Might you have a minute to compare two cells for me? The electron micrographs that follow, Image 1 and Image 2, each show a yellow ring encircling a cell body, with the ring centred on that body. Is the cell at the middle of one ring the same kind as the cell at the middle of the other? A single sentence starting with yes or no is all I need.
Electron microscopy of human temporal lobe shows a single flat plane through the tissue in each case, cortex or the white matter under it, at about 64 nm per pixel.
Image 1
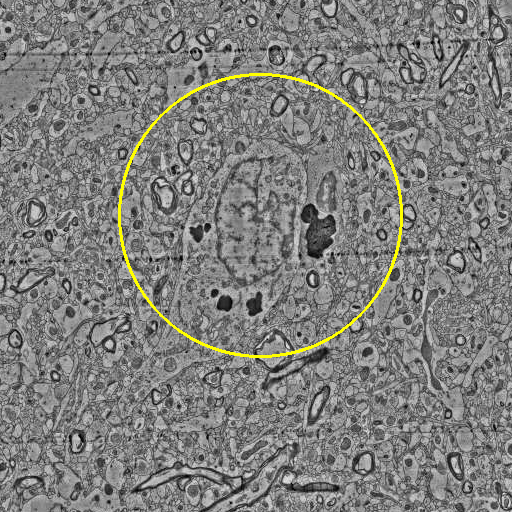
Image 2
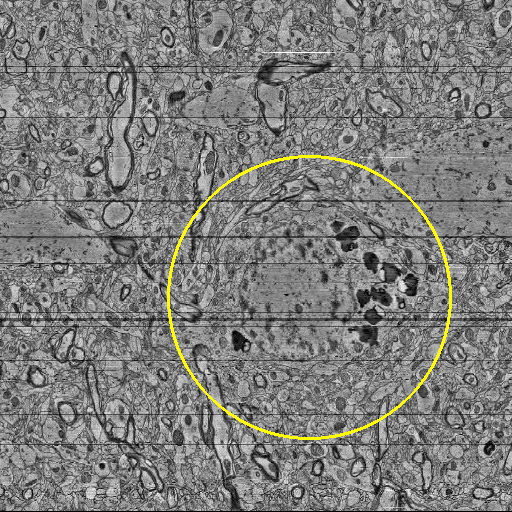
Yes, the cells in the middle of the two rings are of one shared kind.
